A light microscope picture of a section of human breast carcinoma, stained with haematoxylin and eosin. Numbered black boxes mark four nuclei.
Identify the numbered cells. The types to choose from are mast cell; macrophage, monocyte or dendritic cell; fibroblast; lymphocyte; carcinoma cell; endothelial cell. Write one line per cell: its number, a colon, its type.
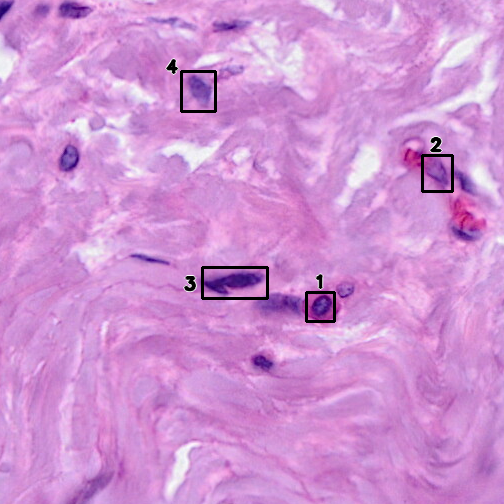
1: mast cell
2: endothelial cell
3: fibroblast
4: fibroblast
